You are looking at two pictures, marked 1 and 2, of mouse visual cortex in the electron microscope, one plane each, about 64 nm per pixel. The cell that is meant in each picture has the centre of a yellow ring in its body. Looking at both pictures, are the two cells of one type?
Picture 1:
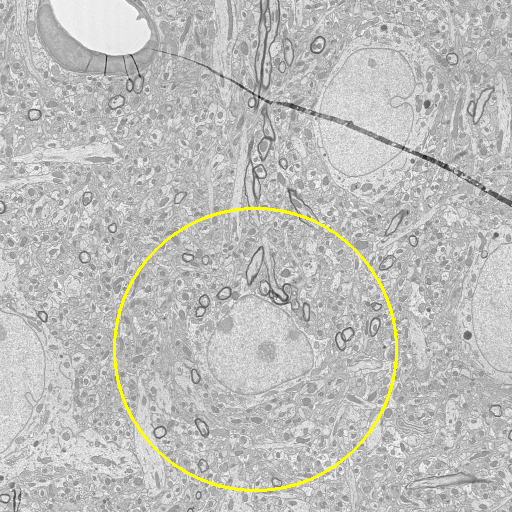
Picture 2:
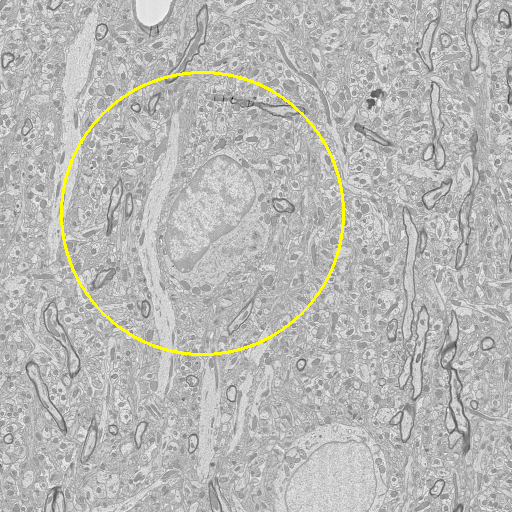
No, picture 1 shows an astrocyte and picture 2 shows an oligodendrocyte.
